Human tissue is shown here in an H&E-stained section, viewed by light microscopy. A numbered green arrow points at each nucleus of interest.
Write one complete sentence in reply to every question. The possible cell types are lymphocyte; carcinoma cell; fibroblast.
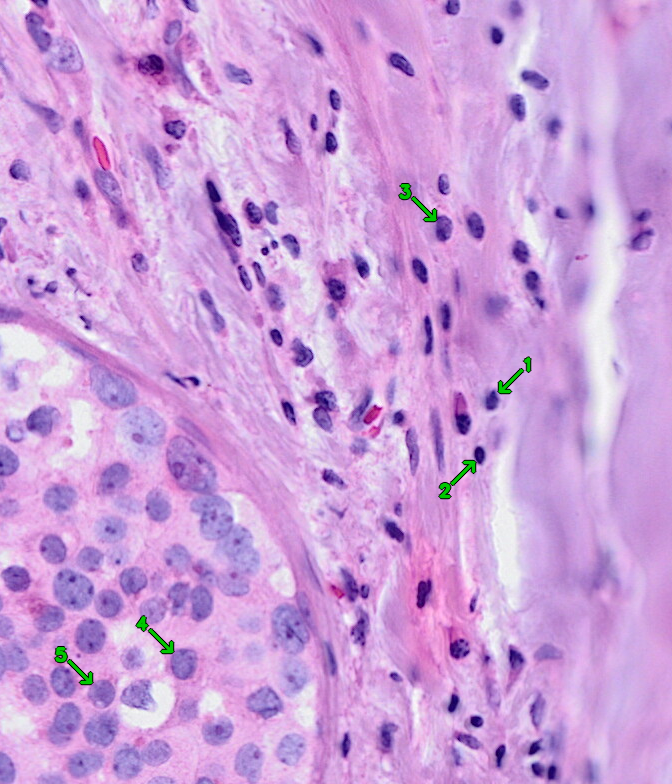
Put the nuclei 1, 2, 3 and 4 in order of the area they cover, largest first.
By area, largest first, they run 4, 3, 1, 2.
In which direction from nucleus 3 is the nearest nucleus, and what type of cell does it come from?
The closest nucleus belongs to a lymphocyte and sits to the right of nucleus 3.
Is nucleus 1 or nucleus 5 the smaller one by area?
The smaller nucleus is 1, and 5 covers roughly 2 times its area.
